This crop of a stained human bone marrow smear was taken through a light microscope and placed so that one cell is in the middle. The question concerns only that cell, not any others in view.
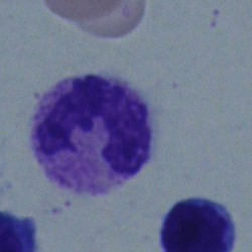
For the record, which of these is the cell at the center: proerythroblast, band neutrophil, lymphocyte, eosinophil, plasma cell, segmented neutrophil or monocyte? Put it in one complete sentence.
The cell in the middle of this crop is a band neutrophil.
